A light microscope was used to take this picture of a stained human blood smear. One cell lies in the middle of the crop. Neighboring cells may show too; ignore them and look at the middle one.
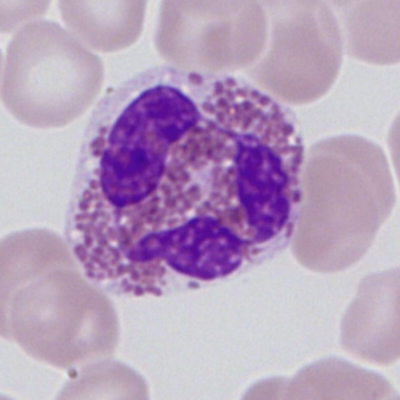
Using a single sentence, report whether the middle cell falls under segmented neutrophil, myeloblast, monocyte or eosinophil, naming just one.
As for the central cell, it is an eosinophil.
